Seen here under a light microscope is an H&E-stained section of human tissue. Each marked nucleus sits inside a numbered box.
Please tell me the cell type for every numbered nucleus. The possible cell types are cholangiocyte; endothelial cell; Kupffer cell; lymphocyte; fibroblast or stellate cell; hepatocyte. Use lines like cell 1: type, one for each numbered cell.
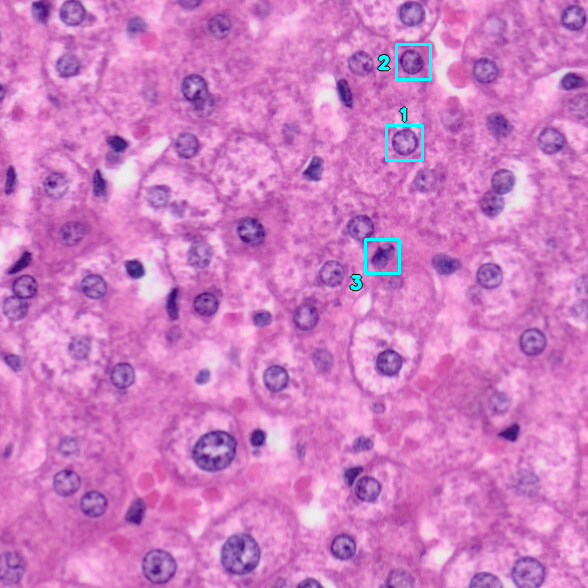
cell 1: hepatocyte
cell 2: hepatocyte
cell 3: fibroblast or stellate cell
